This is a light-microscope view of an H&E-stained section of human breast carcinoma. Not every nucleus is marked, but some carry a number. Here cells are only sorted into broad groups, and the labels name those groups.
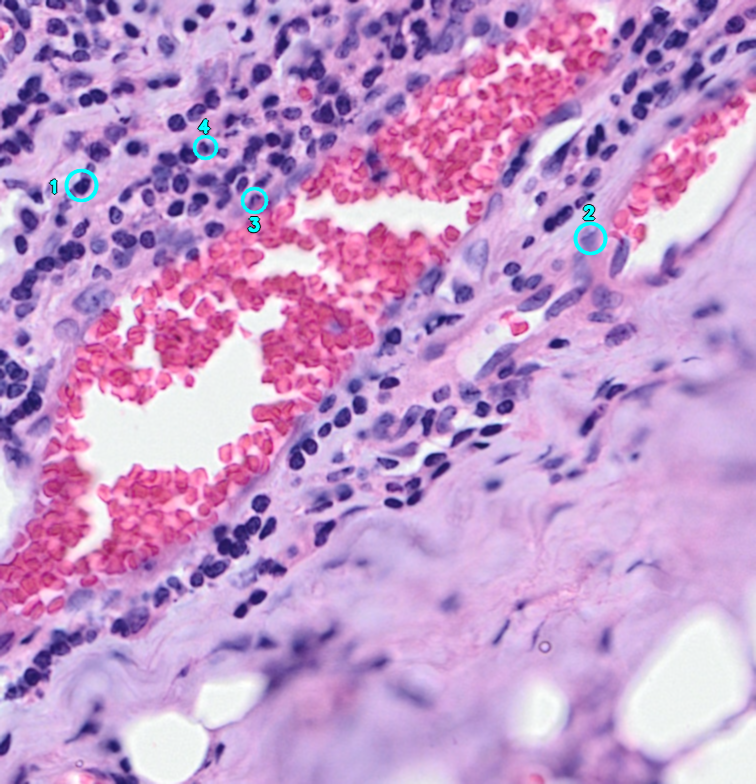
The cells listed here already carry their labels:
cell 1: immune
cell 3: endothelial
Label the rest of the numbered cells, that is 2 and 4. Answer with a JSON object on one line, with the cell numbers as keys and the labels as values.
{"2": "endothelial", "4": "immune"}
